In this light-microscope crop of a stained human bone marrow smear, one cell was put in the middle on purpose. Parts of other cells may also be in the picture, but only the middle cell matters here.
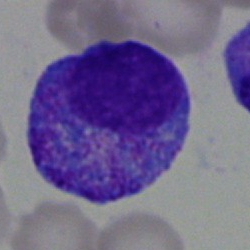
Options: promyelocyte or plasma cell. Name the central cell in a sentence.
The central element of this crop is a cell, namely a promyelocyte.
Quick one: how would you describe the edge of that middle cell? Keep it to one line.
The edge of the cell is unbroken and smooth, bearing no projections.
